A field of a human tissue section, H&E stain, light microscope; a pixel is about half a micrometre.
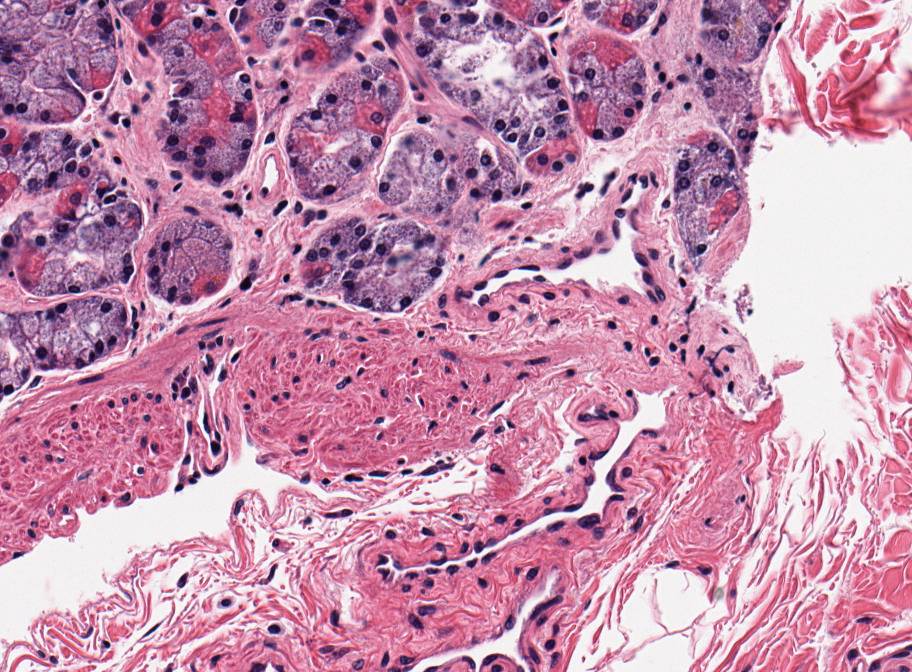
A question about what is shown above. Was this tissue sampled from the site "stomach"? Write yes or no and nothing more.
yes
